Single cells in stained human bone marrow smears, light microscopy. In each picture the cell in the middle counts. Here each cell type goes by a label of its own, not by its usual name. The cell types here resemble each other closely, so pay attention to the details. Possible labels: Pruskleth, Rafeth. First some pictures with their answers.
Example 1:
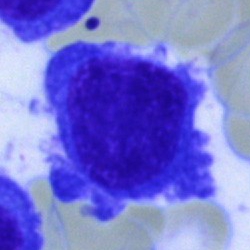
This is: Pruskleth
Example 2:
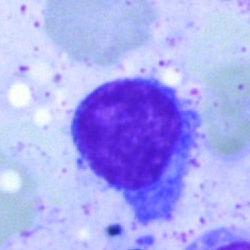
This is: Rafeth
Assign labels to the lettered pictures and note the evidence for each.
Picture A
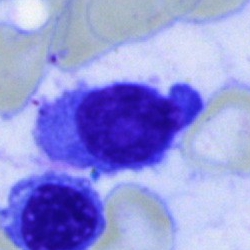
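Pruskleth. Evidence: The cytoplasm forms a broad zone on the left side of the cell.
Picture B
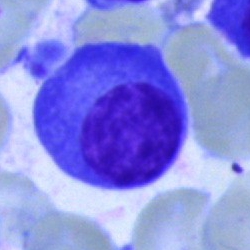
Pruskleth. Evidence: The cytoplasm is abundant and stains deep blue.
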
